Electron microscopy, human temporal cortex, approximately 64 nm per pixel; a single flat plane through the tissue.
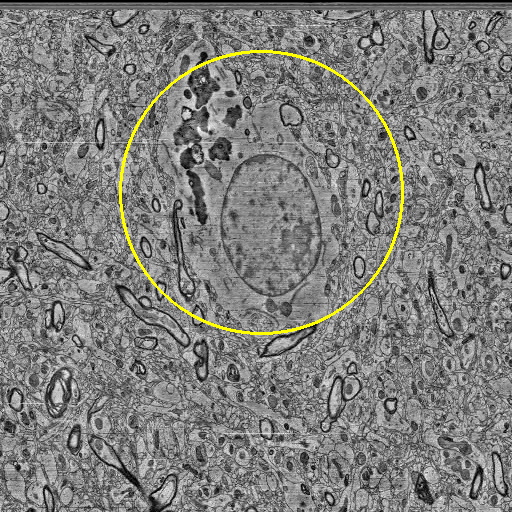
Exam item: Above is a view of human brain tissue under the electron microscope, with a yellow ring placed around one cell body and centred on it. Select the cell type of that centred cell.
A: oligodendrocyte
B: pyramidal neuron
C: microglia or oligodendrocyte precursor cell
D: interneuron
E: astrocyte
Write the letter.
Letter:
E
